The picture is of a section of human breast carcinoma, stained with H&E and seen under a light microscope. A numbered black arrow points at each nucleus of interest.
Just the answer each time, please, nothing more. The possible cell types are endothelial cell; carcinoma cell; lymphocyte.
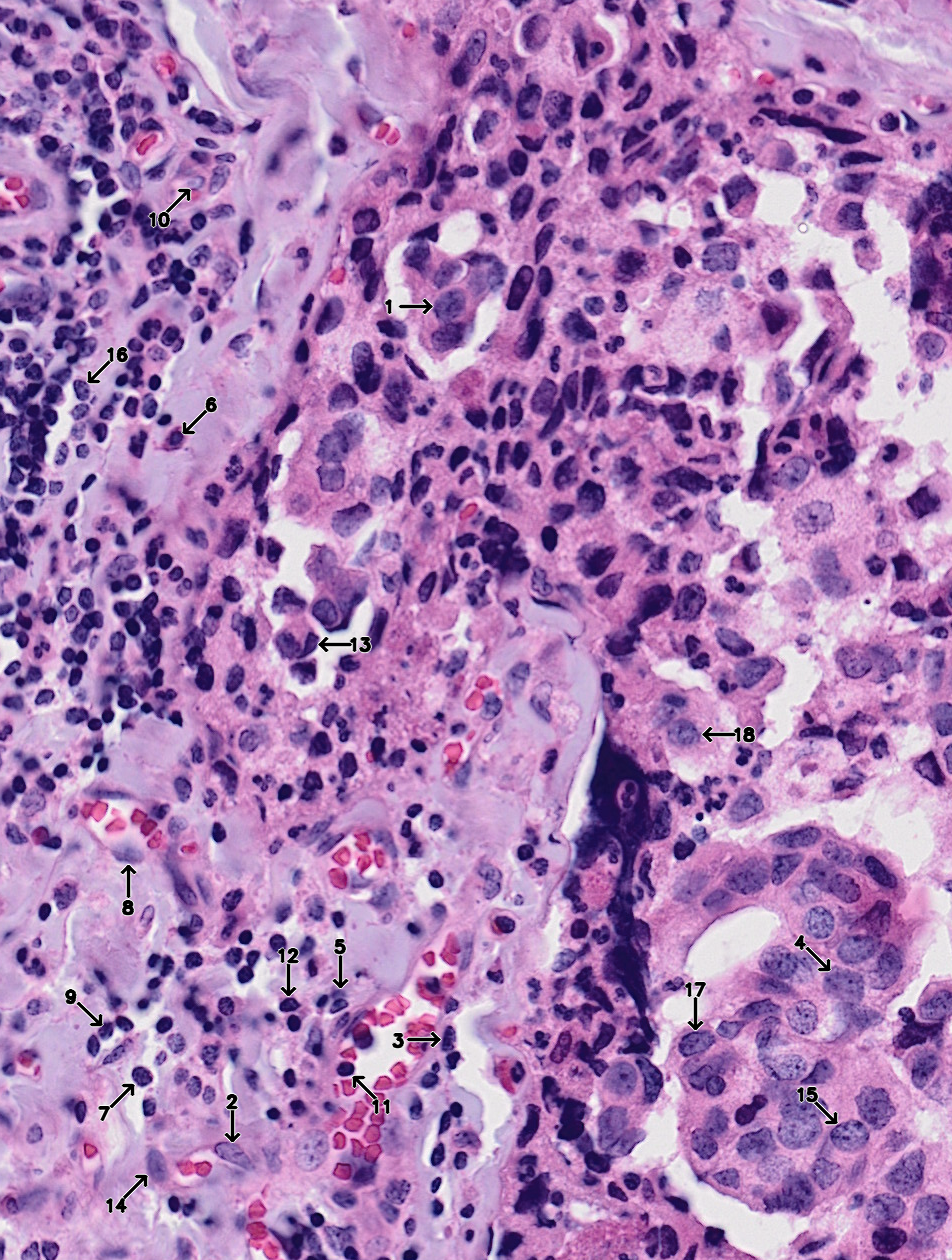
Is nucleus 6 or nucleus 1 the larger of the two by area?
1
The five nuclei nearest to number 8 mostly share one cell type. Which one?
endothelial cell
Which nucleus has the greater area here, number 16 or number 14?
14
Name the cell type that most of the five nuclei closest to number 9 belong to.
lymphocyte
